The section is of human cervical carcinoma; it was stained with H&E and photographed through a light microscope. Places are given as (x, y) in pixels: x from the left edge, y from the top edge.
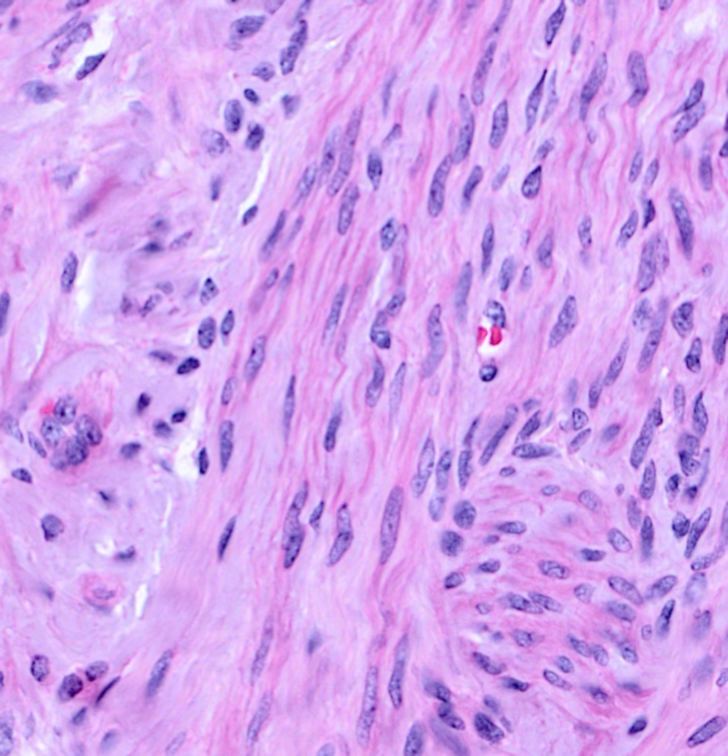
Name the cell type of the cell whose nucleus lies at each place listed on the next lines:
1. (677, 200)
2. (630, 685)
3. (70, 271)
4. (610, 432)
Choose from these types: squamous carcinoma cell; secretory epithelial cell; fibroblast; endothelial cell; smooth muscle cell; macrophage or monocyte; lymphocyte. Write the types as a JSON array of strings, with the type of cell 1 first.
["smooth muscle cell", "smooth muscle cell", "fibroblast", "smooth muscle cell"]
